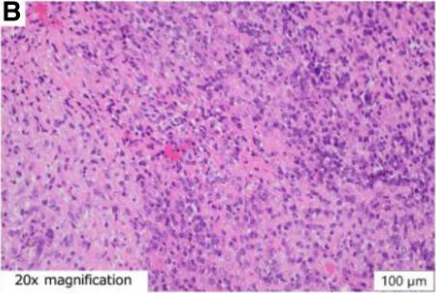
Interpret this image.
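This is a densely cellular tumour made of spindle-shaped to polygonal cells lying in sheets without any orderly arrangement. The cytoplasm is pink and ill-defined, and cell borders are hard to make out. In places the cells lie further apart in a paler, loose background, while elsewhere they crowd together with purple nuclei overlapping. A few small collections of red blood cells are scattered among the tumour cells.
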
